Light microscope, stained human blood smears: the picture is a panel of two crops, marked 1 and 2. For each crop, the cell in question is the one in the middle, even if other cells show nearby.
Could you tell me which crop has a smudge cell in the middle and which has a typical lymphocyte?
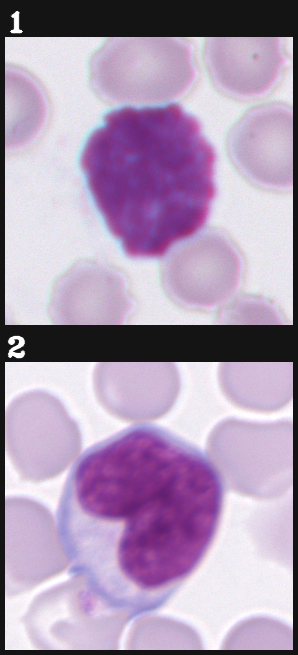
1: smudge cell
2: typical lymphocyte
